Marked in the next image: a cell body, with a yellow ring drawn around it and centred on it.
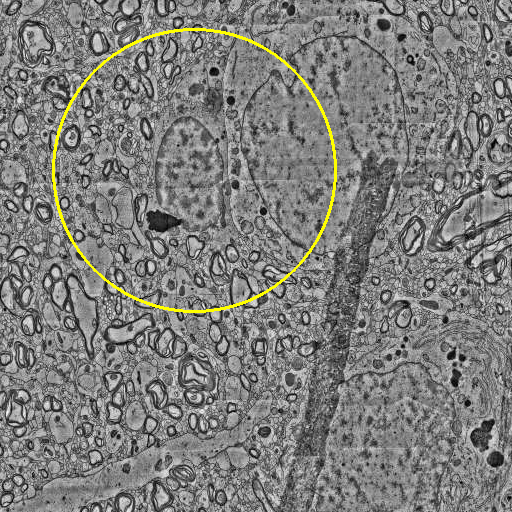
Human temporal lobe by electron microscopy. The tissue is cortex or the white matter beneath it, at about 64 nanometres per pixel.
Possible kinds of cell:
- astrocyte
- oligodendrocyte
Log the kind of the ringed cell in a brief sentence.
The ringed cell body is that of an oligodendrocyte.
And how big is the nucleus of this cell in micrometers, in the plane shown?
The nucleus is approximately 7 micrometers long by 5 micrometers wide in this plane.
